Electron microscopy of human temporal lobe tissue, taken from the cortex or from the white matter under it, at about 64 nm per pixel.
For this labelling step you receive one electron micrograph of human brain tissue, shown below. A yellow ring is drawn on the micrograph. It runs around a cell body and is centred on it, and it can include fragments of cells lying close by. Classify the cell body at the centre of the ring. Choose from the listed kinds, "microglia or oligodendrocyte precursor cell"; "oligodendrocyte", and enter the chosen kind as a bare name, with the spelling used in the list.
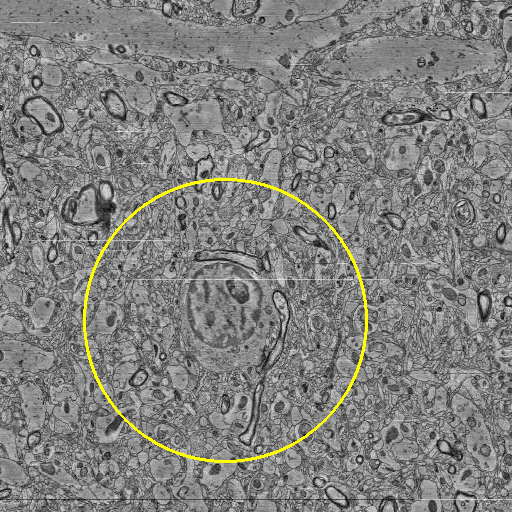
oligodendrocyte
